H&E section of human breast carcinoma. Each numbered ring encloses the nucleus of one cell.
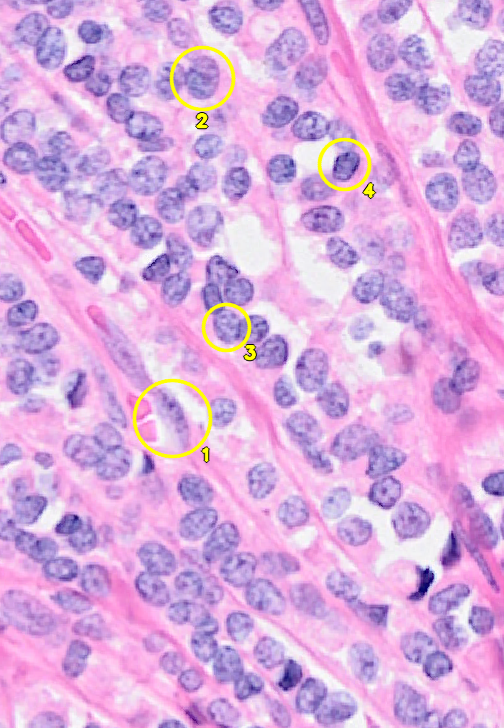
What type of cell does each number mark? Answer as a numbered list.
1. endothelial cell
2. carcinoma cell
3. carcinoma cell
4. carcinoma cell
